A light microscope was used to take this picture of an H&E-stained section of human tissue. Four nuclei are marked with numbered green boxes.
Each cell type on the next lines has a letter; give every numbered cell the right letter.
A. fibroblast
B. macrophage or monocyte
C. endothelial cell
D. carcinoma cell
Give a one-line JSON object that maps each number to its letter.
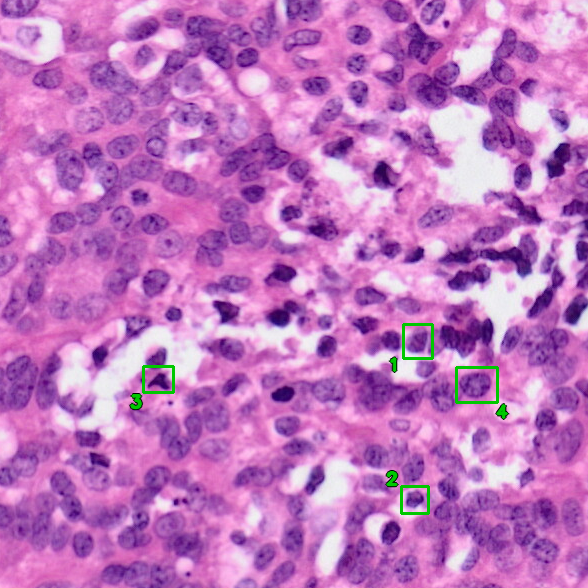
{"1": "D", "2": "D", "3": "B", "4": "D"}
